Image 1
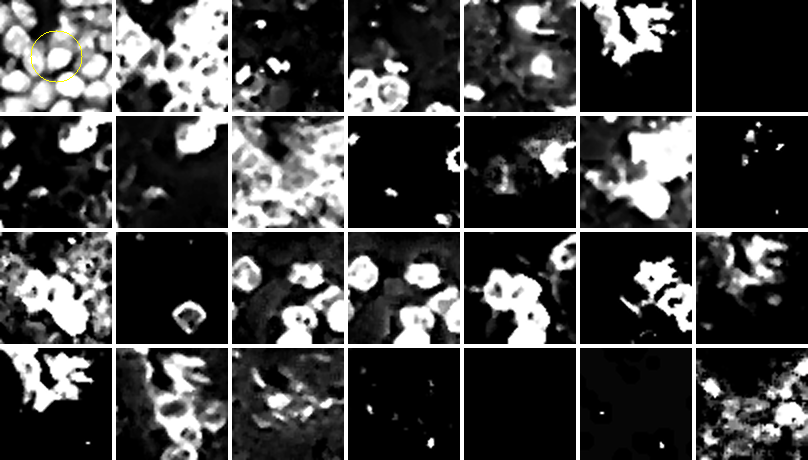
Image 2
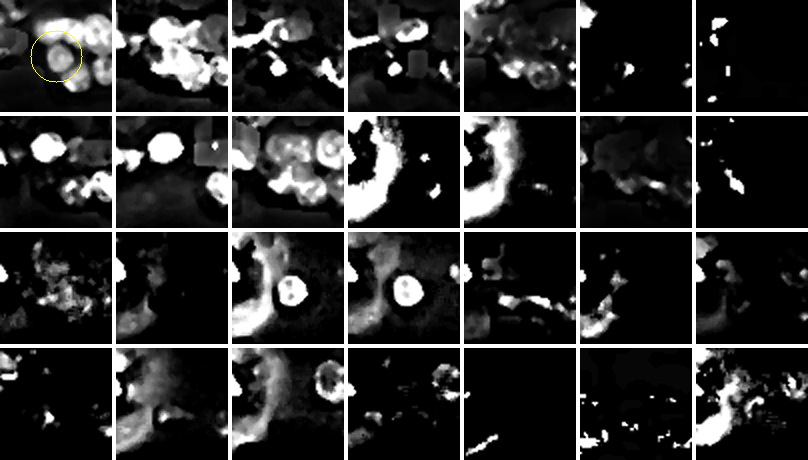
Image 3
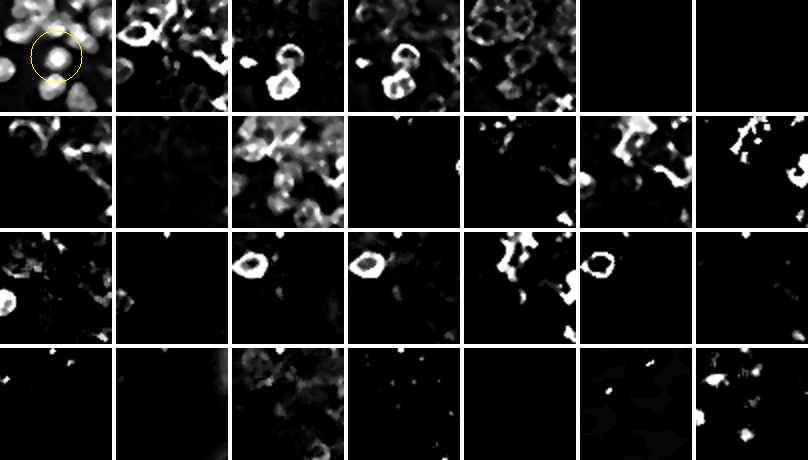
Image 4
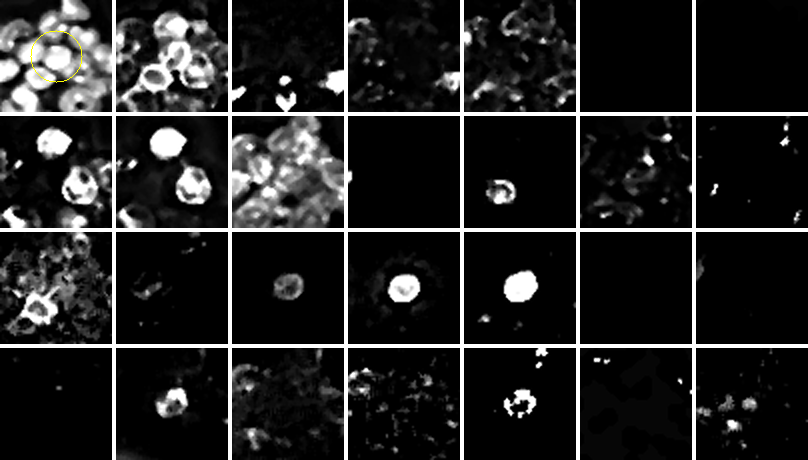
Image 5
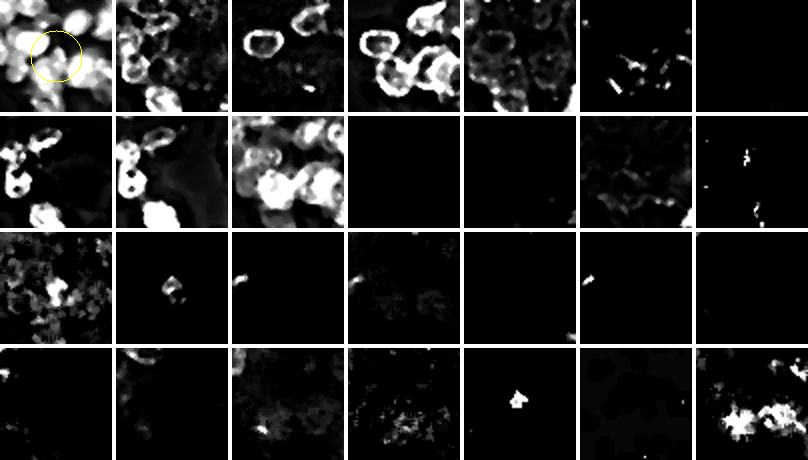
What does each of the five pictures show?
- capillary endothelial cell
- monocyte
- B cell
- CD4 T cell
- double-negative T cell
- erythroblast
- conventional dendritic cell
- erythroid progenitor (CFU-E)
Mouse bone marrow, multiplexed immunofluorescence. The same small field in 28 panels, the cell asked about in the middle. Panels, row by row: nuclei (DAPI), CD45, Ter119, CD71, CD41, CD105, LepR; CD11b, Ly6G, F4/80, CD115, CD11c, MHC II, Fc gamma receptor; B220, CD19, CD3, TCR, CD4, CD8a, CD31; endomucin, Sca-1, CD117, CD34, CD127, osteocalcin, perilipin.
(1) erythroid progenitor (CFU-E)
(2) double-negative T cell
(3) erythroblast
(4) CD4 T cell
(5) B cell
